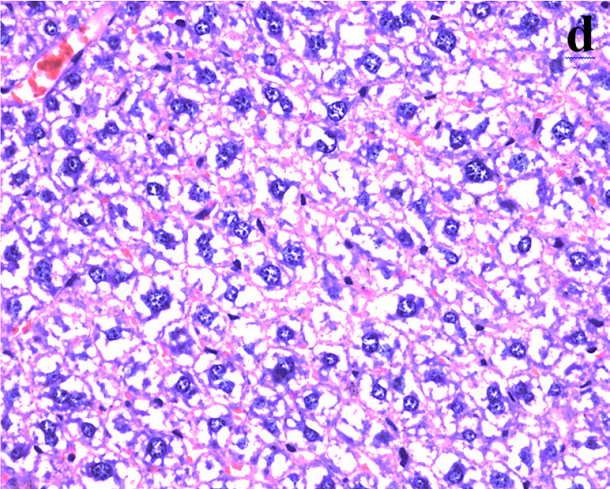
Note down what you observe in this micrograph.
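This is liver tissue in which the hepatocytes are markedly swollen and their cytoplasm is largely cleared. The nuclei are still mostly central and round, but many stain darkly and some look shrunken or irregular. The ordered cords seen in normal liver are hard to trace, and at the upper left a vessel holds red blood cells.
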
